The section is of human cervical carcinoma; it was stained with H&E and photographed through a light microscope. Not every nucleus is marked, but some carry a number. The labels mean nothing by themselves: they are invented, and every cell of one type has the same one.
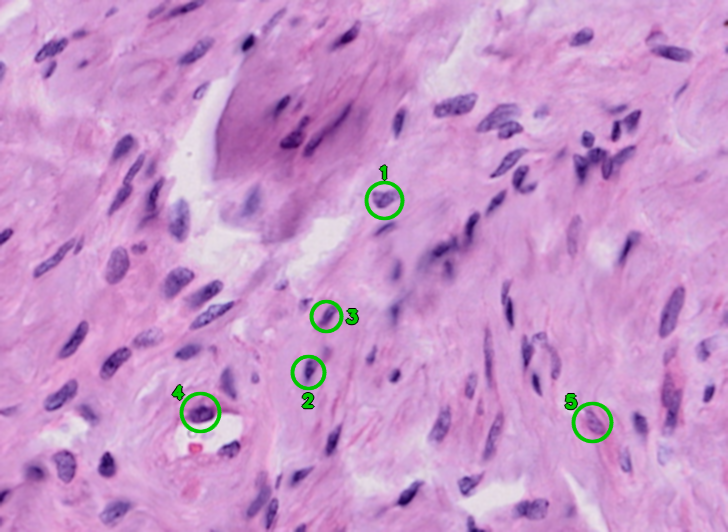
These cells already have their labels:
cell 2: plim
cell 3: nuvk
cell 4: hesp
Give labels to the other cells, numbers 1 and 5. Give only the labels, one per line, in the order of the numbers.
plim
nuvk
